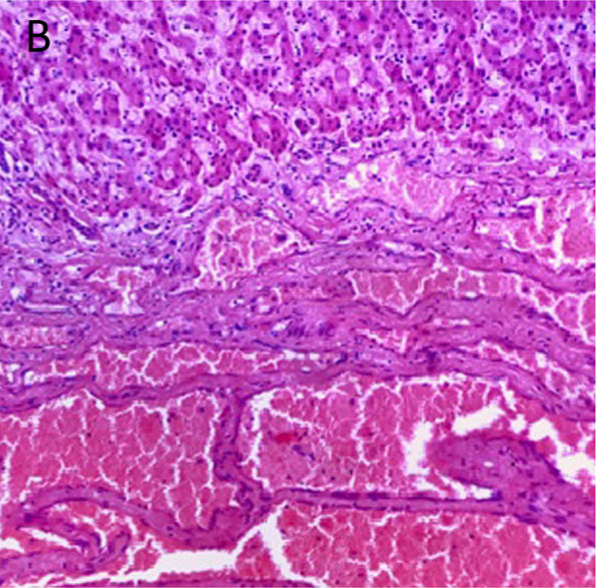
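This is liver tissue in which a sheet of hepatocytes borders a field of widened blood-filled vascular channels. Across the upper part, the hepatocytes are polygonal cells with pink, finely granular cytoplasm and small round dark nuclei. They are arranged in irregular cords and clusters. Below them, thin wavy bands of pink fibrous tissue with scattered elongated nuclei form the walls of large spaces. These spaces are crowded with closely packed red blood cells, which stain bright pink to red. The channels are lined by flattened cells and separated only by slender septa, giving a spongy, vascular appearance directly beside the liver cells.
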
